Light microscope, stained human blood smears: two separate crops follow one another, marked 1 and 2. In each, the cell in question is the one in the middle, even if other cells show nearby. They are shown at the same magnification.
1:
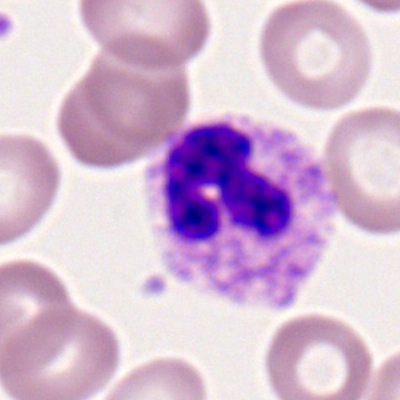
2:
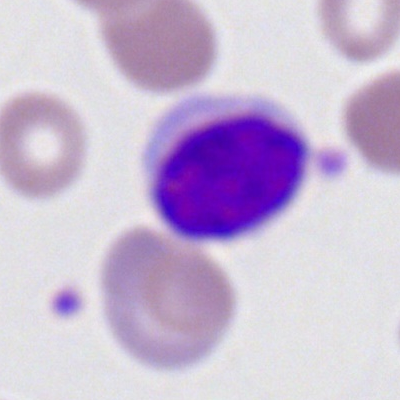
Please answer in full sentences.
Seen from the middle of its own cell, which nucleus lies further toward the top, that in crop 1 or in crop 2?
In crop 1 the nucleus is shifted more toward the top.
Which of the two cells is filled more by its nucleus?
In crop 2 the nucleus takes up the larger part of its cell.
